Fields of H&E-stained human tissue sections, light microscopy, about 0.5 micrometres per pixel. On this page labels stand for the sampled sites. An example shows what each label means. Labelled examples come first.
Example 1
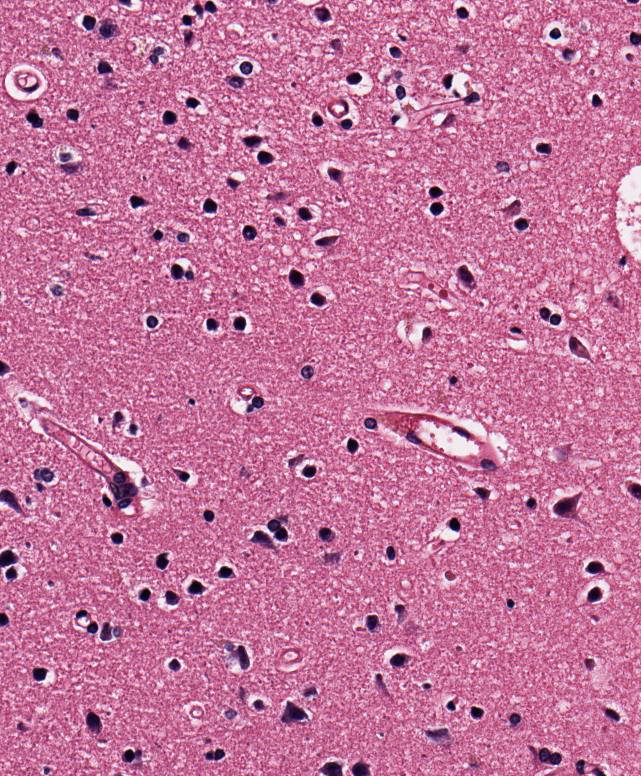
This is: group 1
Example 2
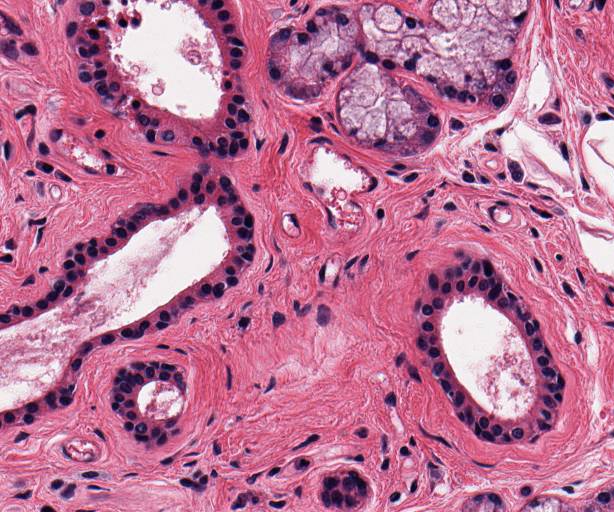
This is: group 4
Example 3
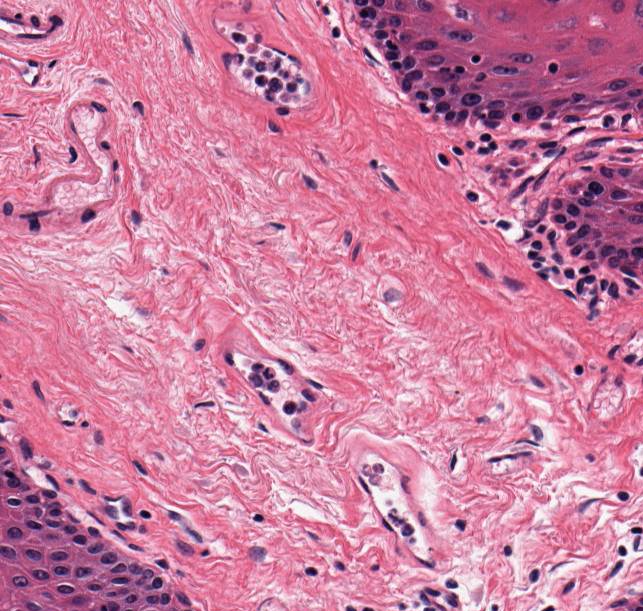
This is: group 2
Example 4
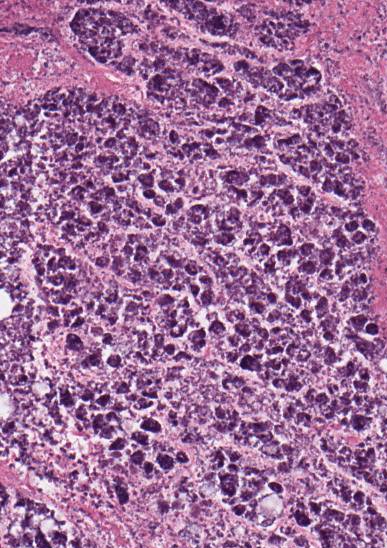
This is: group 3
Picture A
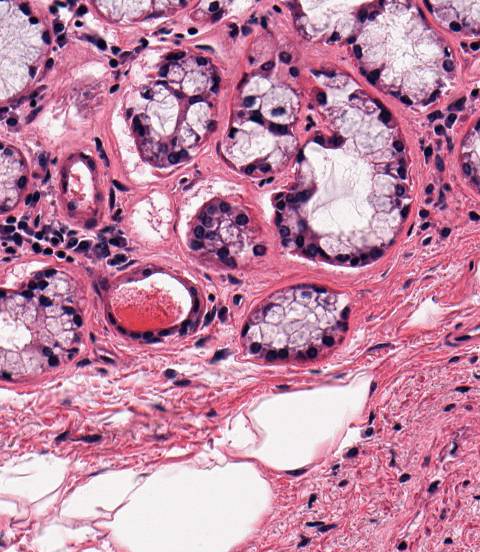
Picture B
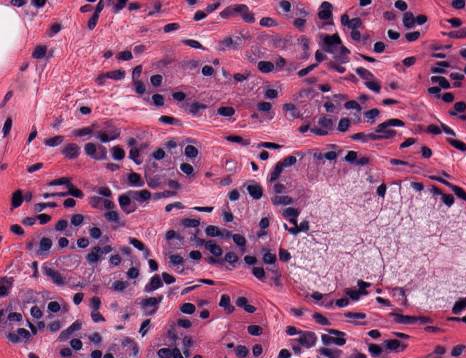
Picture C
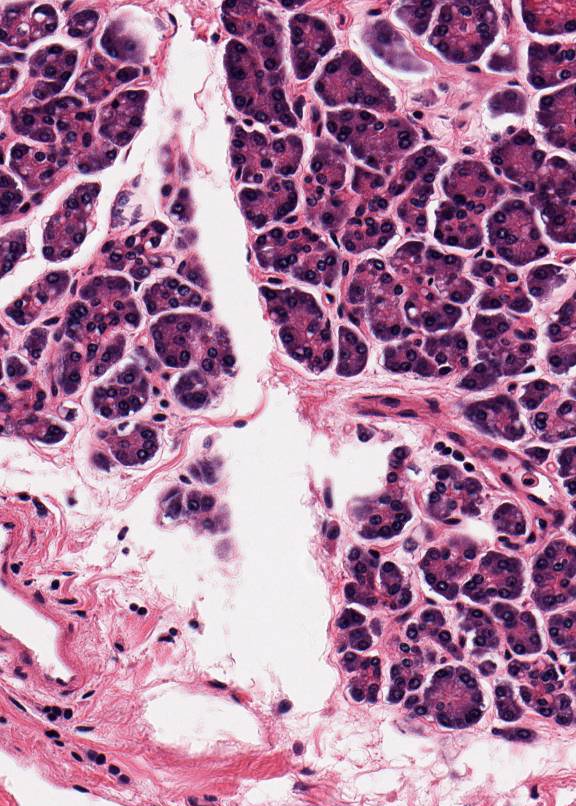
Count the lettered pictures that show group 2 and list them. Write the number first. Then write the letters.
1, namely A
